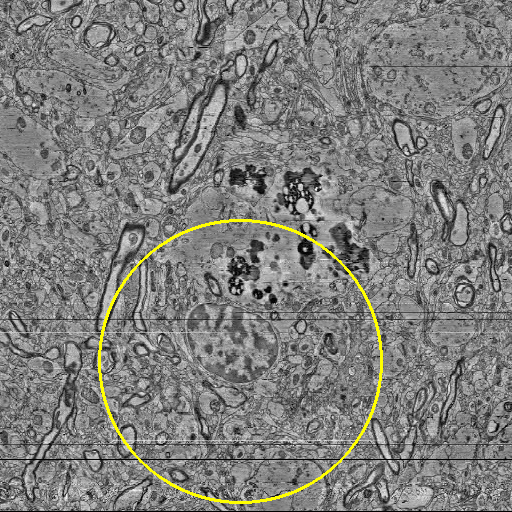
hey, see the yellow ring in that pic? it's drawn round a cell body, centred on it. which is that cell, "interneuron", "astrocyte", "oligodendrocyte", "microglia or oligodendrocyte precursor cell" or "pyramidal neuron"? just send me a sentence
The cell in the ring is a microglial cell or oligodendrocyte precursor cell.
